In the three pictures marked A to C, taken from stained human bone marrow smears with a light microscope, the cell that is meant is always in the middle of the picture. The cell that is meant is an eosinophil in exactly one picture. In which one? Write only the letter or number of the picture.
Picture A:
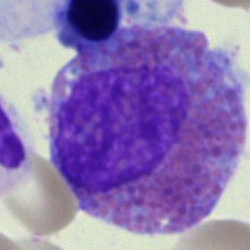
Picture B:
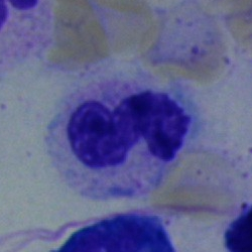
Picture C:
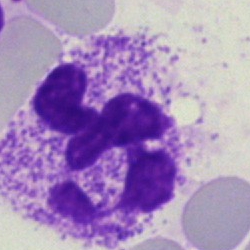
A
